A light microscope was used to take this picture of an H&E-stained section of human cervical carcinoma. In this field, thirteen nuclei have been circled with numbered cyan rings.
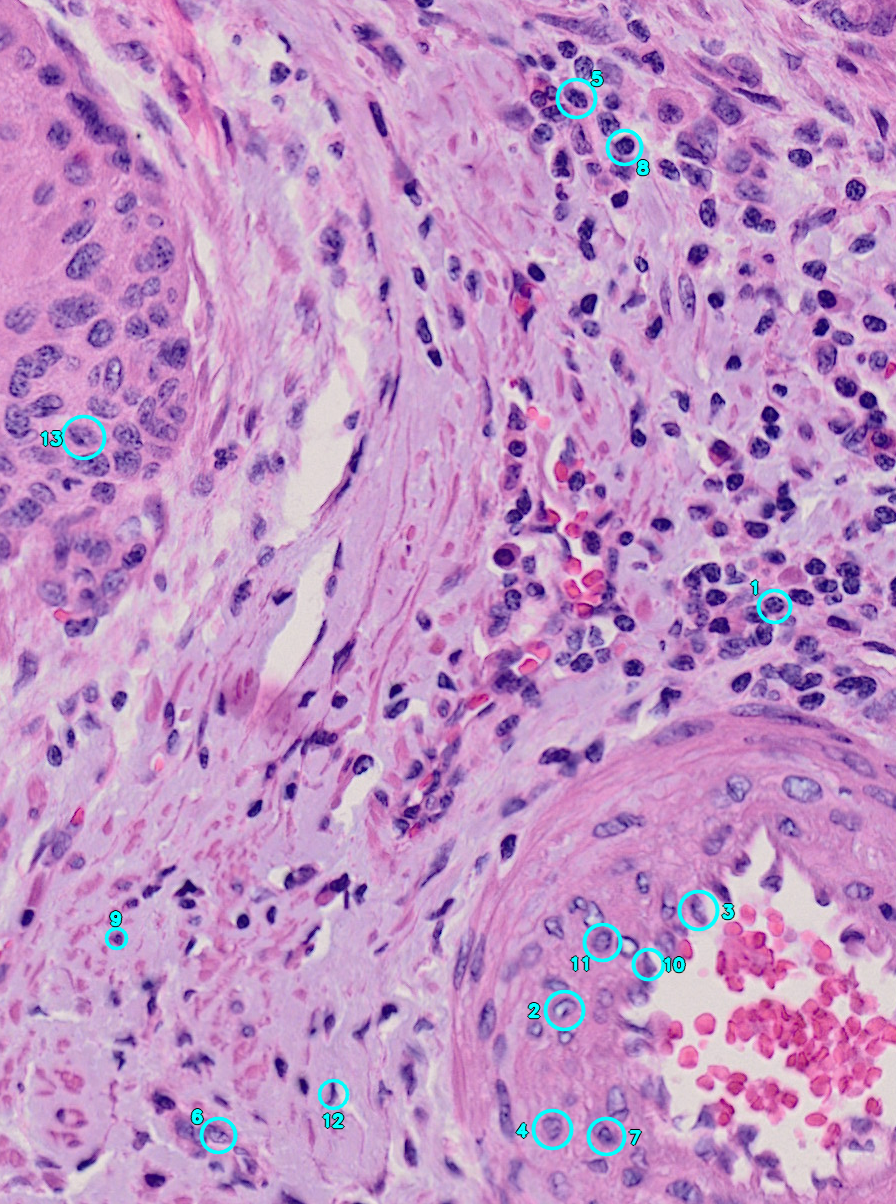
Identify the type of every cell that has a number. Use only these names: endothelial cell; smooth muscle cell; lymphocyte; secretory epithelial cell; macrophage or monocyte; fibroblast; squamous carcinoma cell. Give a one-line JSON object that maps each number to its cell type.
{"1": "lymphocyte", "2": "smooth muscle cell", "3": "endothelial cell", "4": "smooth muscle cell", "5": "lymphocyte", "6": "endothelial cell", "7": "smooth muscle cell", "8": "lymphocyte", "9": "smooth muscle cell", "10": "endothelial cell", "11": "smooth muscle cell", "12": "fibroblast", "13": "squamous carcinoma cell"}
